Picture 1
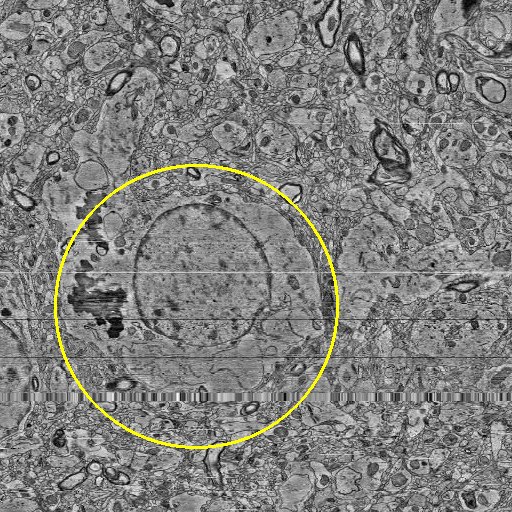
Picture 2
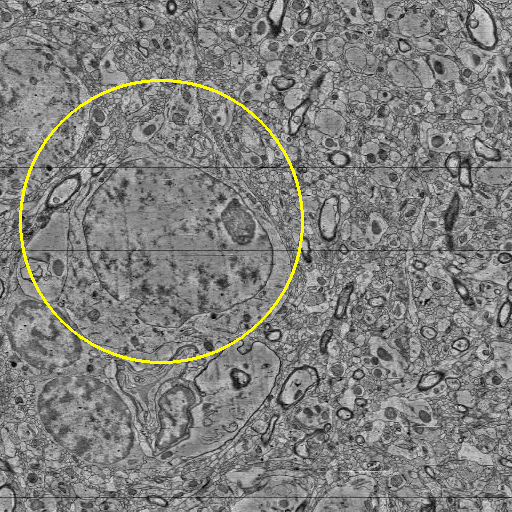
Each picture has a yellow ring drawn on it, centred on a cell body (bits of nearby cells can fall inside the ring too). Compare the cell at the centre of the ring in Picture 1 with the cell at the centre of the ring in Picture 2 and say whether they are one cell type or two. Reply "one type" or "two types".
two types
